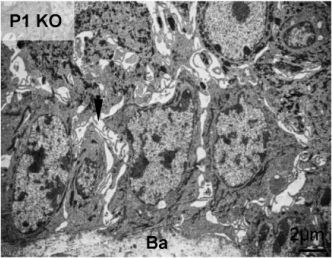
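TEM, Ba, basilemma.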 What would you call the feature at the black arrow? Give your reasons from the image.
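The arrow points to pale, electron-lucent gaps lying between cells. The gaps separate cell bodies that contain large nuclei. On this evidence: intervals between cells.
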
